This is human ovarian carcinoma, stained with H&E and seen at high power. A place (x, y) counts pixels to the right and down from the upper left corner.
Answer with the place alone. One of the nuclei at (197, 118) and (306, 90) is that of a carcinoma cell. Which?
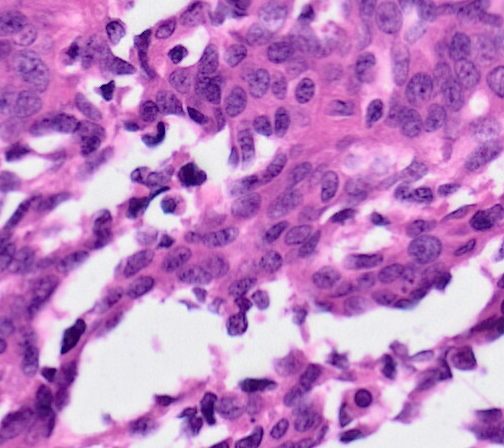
(197, 118)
